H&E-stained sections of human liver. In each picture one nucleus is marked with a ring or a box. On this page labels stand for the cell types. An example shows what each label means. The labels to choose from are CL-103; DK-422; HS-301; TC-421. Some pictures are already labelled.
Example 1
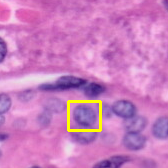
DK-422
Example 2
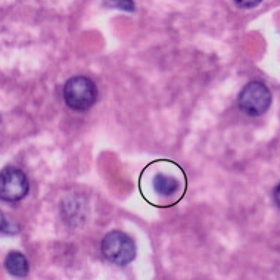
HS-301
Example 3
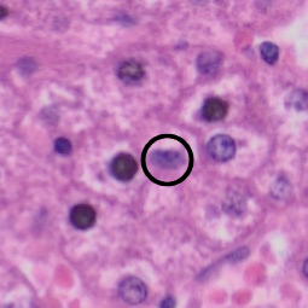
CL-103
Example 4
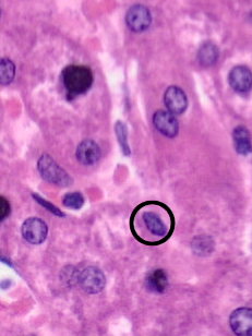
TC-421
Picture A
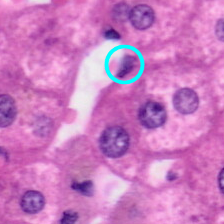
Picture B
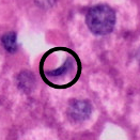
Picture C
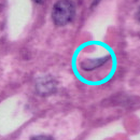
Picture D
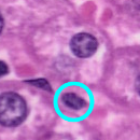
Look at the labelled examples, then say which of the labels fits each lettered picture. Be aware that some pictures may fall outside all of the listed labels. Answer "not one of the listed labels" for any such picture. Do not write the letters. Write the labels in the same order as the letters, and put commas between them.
CL-103, CL-103, CL-103, HS-301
